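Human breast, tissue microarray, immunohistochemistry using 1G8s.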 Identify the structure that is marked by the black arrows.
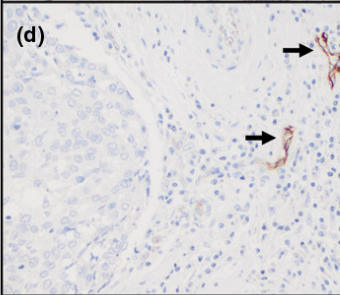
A: Blood vessels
